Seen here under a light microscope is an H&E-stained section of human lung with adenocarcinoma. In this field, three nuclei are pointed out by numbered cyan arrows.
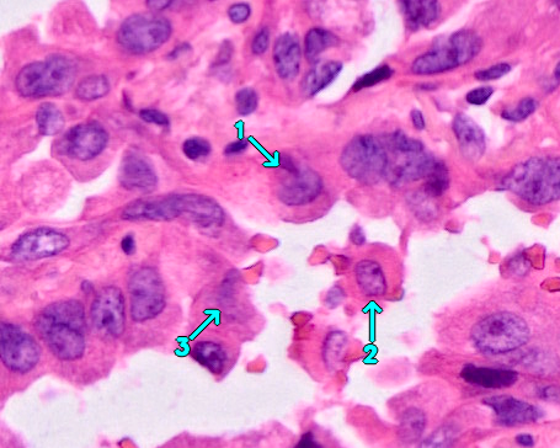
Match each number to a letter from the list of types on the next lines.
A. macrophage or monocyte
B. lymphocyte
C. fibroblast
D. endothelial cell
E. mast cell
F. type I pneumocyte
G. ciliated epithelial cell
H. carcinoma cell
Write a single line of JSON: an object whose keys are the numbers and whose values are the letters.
{"1": "H", "2": "A", "3": "H"}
